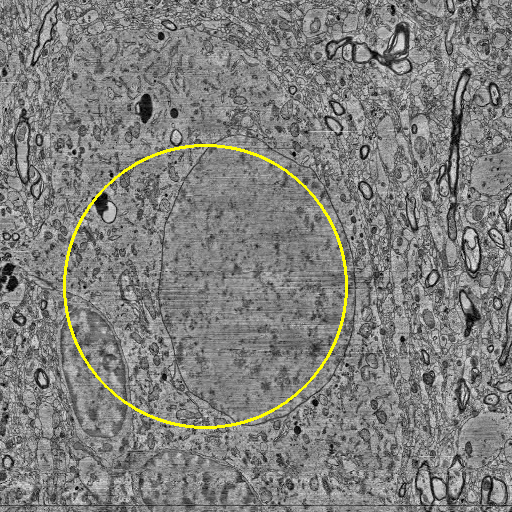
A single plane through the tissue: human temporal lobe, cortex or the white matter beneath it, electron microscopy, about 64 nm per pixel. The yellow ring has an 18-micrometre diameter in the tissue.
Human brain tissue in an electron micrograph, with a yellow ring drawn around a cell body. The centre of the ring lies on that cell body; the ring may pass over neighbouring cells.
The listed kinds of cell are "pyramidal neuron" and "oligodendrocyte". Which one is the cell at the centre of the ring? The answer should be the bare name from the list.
pyramidal neuron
